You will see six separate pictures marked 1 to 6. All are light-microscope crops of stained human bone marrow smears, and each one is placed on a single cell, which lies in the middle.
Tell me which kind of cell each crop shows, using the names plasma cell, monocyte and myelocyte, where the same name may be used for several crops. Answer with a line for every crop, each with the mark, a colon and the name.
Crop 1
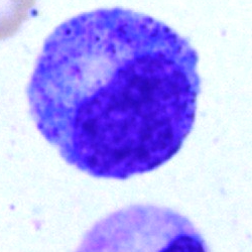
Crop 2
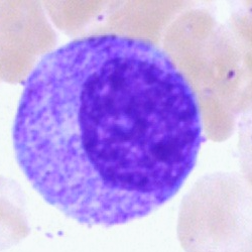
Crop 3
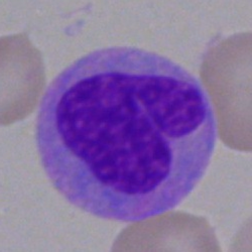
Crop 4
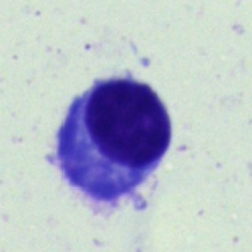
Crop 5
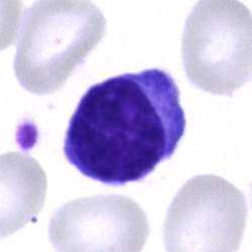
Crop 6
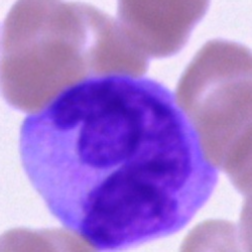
1: myelocyte
2: myelocyte
3: monocyte
4: plasma cell
5: plasma cell
6: monocyte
